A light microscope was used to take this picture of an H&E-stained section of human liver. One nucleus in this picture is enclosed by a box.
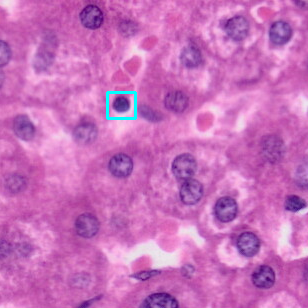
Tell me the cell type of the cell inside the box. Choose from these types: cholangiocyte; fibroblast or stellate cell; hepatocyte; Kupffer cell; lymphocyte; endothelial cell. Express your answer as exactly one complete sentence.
As to its cell type, the cell inside the box is a lymphocyte.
